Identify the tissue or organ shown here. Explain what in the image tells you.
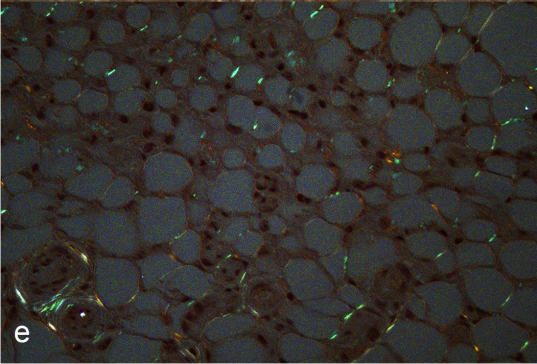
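Many round, empty, optically clear spaces of varying size. Thin septa separate the clear spaces.
Conclusion: Adipose tissue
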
